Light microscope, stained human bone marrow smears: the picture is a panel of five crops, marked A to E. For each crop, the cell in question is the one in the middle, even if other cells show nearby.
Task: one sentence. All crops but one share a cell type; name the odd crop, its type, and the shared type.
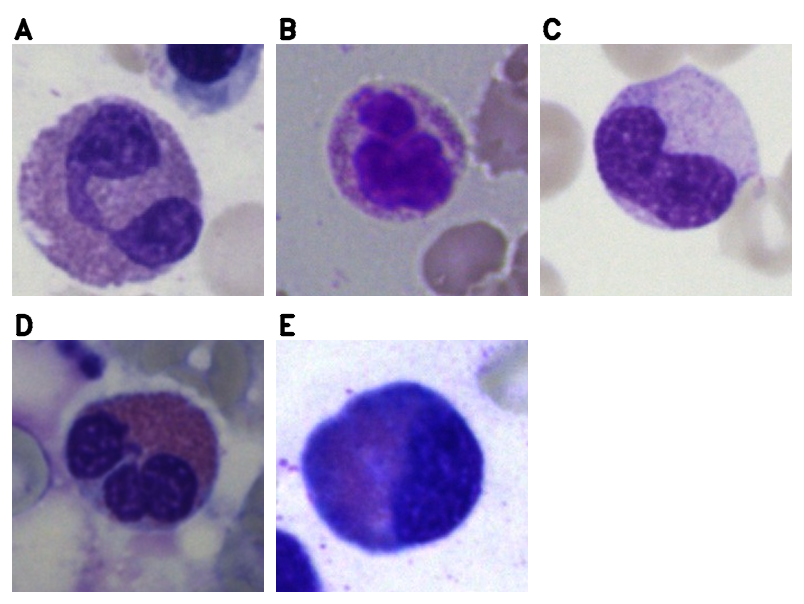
Crop C is the exception in this set, showing a band neutrophil while the others show eosinophils.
